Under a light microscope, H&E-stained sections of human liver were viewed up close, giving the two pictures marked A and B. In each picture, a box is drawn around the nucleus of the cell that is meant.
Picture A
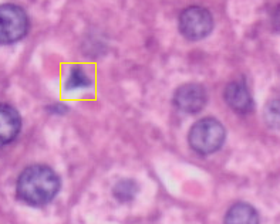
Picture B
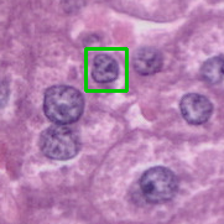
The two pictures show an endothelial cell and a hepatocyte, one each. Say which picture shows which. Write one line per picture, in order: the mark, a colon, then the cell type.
A: endothelial cell
B: hepatocyte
